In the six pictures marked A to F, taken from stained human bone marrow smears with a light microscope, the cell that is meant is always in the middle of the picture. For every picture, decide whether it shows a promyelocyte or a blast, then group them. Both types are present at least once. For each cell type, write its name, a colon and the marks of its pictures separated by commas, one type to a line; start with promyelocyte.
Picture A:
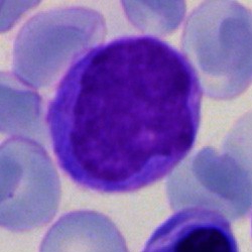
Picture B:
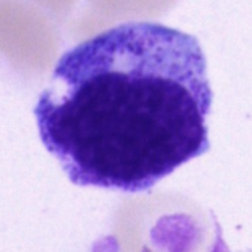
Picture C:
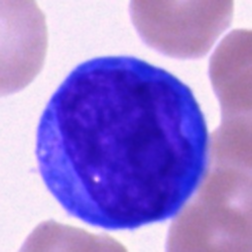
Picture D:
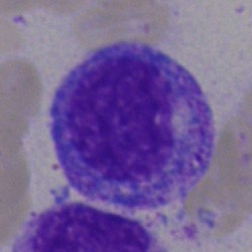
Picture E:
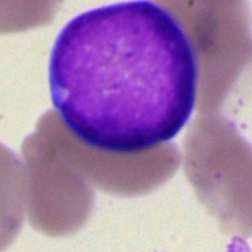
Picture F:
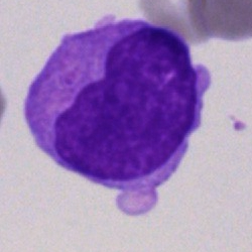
promyelocyte: B, D
blast: A, C, E, F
